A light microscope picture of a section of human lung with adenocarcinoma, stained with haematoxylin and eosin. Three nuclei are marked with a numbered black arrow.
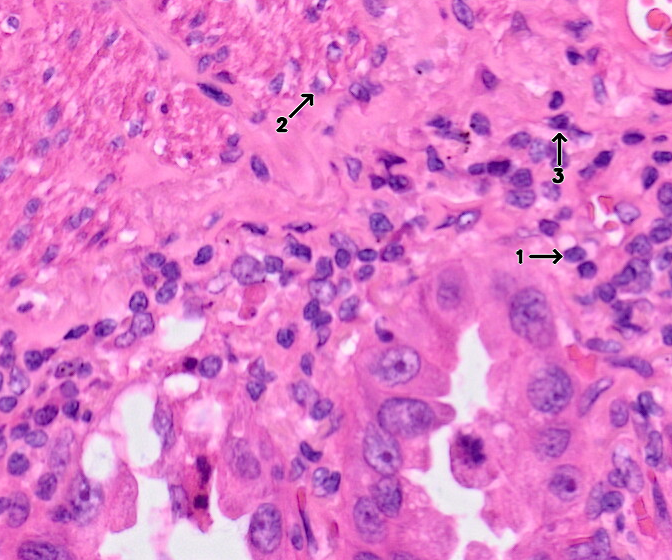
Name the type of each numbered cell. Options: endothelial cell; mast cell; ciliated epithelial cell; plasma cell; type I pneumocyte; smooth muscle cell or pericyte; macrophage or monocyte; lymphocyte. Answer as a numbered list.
1. lymphocyte
2. smooth muscle cell or pericyte
3. lymphocyte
